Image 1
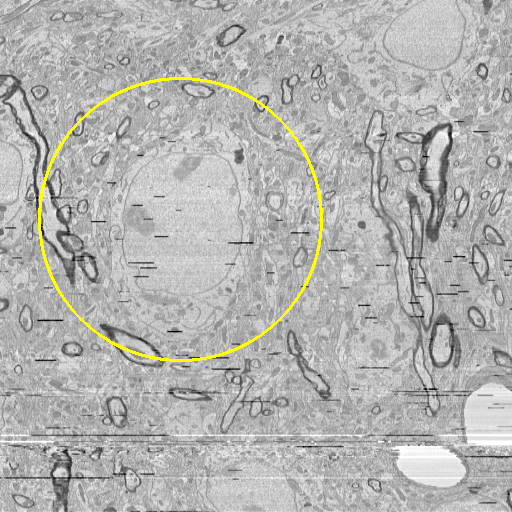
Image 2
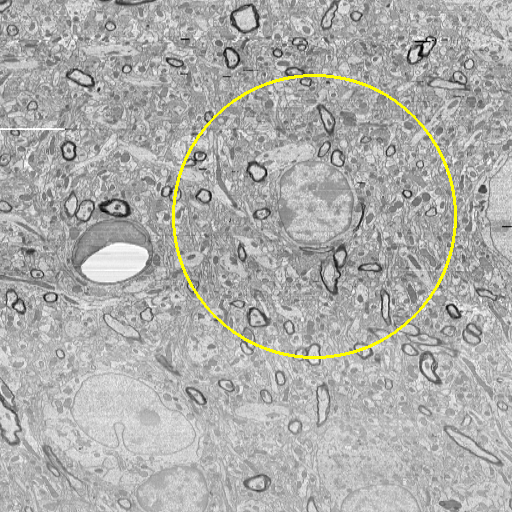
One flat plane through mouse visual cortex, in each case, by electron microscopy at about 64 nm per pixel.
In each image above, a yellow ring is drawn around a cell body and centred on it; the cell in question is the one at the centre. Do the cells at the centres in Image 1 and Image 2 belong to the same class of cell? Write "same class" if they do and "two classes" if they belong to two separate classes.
two classes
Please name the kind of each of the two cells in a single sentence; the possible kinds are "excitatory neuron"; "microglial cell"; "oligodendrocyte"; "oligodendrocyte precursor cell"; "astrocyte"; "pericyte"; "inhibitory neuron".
In the first picture the ring is centred on an excitatory neuron, and in the second on an oligodendrocyte.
